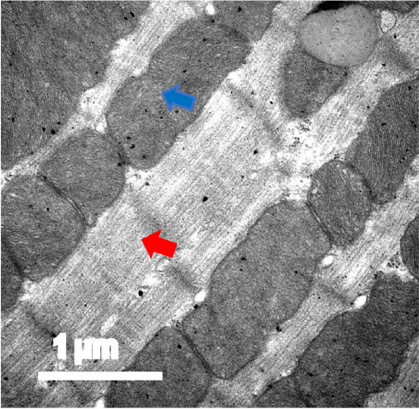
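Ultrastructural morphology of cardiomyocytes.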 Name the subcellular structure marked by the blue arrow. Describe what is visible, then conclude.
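The arrow points at an oval dark organelle bounded by a membrane. The organelle has densely packed internal cristae. Such organelles lie in rows beside the striated bands. On this evidence: mitochondria.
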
